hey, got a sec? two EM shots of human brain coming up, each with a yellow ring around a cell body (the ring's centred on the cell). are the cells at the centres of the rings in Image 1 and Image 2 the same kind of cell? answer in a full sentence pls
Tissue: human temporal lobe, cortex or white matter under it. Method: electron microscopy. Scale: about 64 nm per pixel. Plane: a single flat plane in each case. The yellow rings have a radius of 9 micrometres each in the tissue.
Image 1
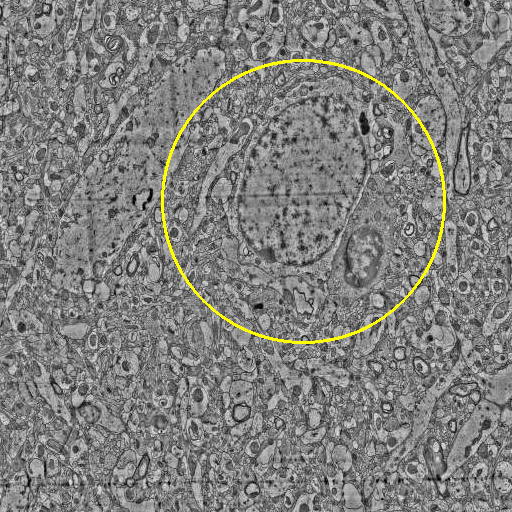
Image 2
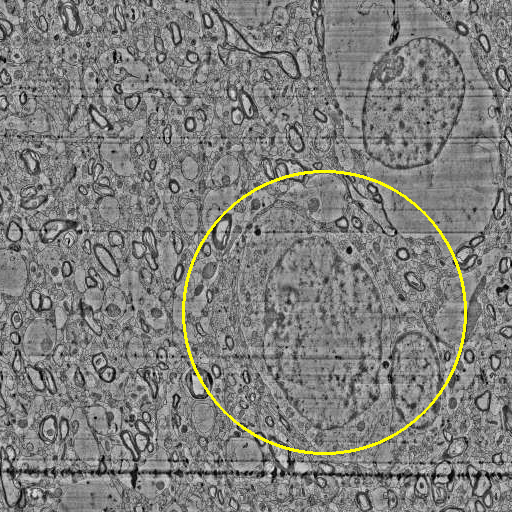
Yes, both are the same kind of cell.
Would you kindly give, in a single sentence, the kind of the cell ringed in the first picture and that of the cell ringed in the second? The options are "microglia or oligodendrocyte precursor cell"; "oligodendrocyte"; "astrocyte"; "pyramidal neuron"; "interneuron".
Each of the two rings is centred on an interneuron.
